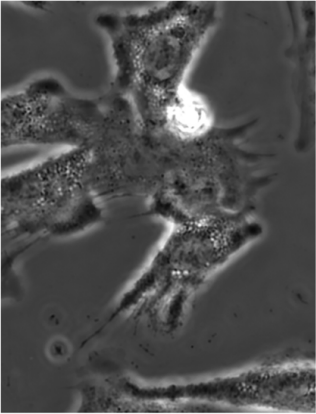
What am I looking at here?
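These are flattened, spread cultured cells under phase contrast forming an interconnected group with elongated processes. A rounded, very bright cell sits near the top of the group, and long tapering extensions run out toward the edges.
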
